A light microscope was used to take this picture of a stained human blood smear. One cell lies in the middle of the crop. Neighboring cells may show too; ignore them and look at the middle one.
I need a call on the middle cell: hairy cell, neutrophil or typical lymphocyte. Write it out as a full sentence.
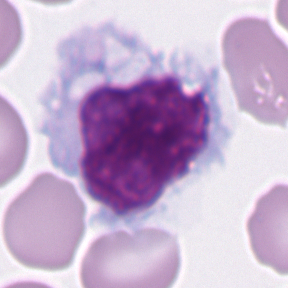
The identification for the central cell is a hairy cell.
